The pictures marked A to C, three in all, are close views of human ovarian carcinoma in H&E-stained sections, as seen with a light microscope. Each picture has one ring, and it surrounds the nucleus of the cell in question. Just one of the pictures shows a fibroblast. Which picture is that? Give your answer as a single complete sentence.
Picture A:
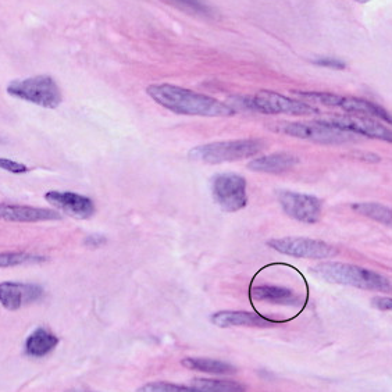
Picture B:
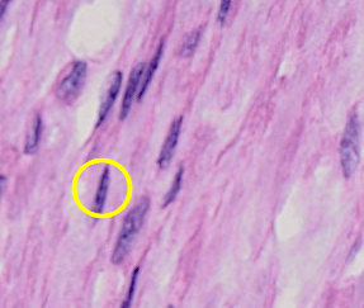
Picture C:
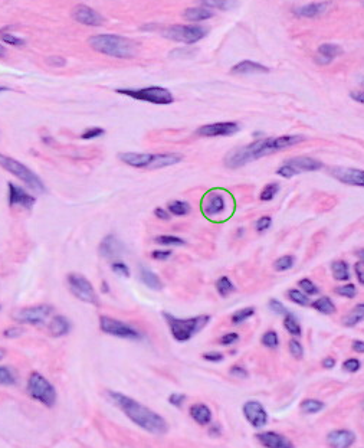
The cell in picture B is the fibroblast.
